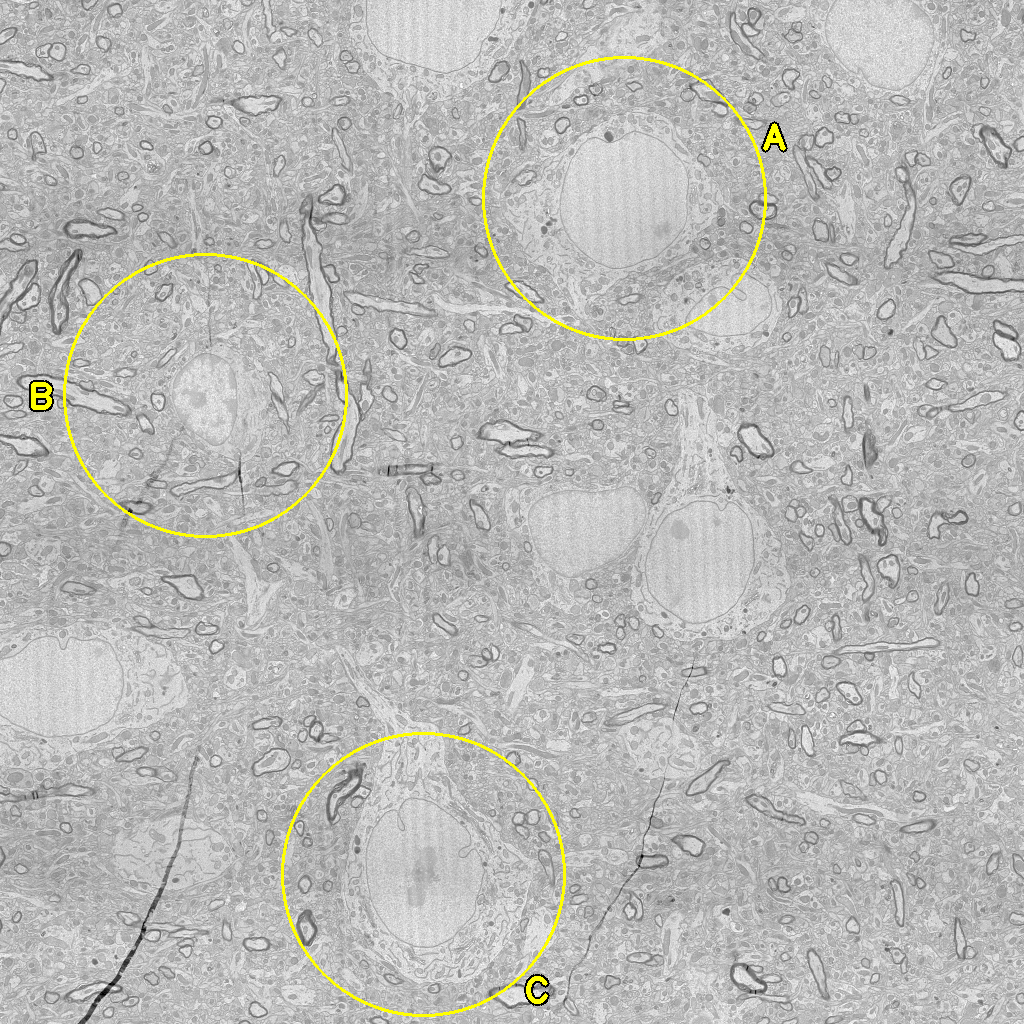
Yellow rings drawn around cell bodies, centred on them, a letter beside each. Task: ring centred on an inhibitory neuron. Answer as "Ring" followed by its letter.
Ring C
